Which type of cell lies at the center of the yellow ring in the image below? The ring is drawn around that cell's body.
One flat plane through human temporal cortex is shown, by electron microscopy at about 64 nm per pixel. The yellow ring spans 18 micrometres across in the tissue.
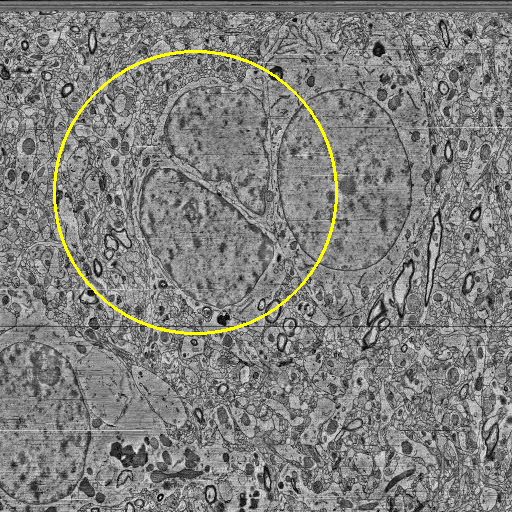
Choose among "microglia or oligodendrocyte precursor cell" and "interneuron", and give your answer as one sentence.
The cell body at the center belongs to a microglial cell or oligodendrocyte precursor cell.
